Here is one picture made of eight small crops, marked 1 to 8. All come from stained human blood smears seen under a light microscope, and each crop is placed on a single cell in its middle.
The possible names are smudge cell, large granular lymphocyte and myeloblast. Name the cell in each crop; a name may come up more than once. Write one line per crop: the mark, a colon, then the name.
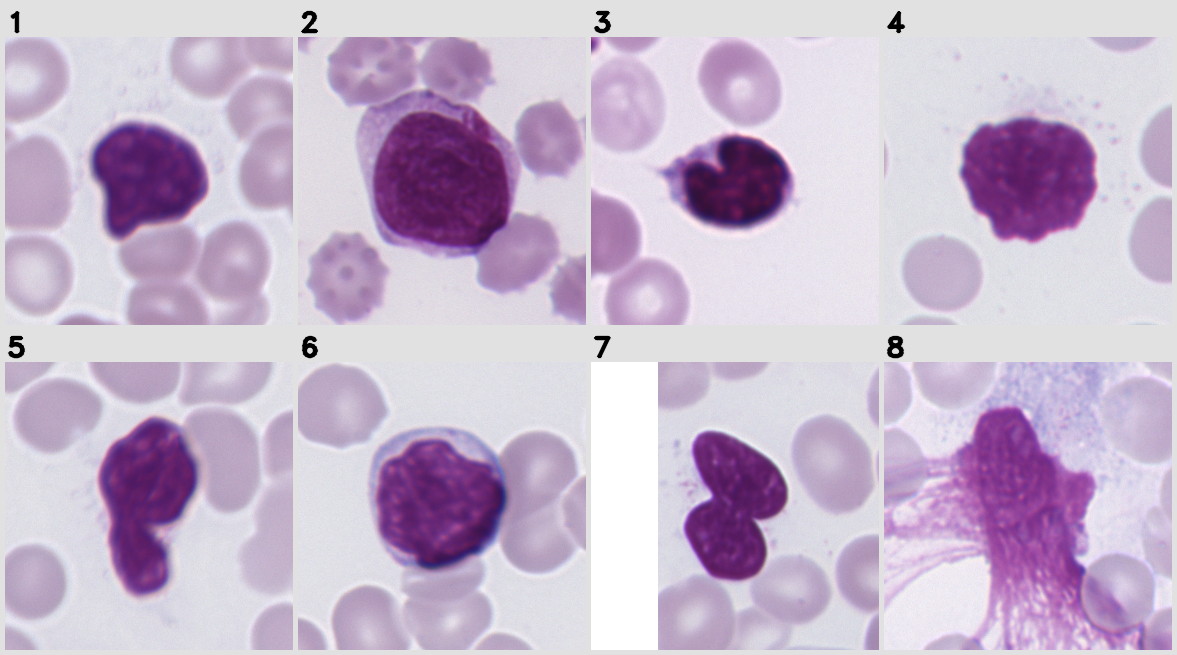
1: smudge cell
2: myeloblast
3: large granular lymphocyte
4: smudge cell
5: smudge cell
6: large granular lymphocyte
7: smudge cell
8: smudge cell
